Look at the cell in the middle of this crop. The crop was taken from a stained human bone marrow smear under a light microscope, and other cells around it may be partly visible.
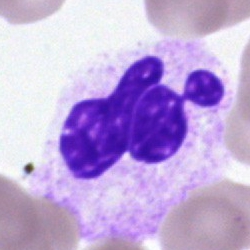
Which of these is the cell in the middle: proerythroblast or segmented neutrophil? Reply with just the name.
segmented neutrophil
